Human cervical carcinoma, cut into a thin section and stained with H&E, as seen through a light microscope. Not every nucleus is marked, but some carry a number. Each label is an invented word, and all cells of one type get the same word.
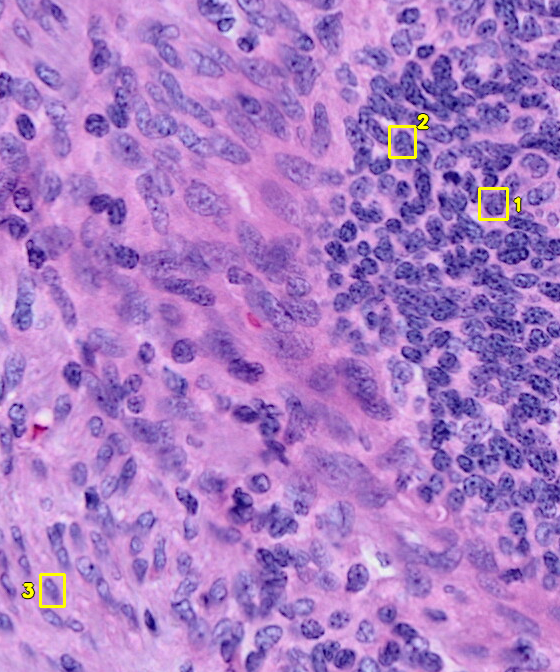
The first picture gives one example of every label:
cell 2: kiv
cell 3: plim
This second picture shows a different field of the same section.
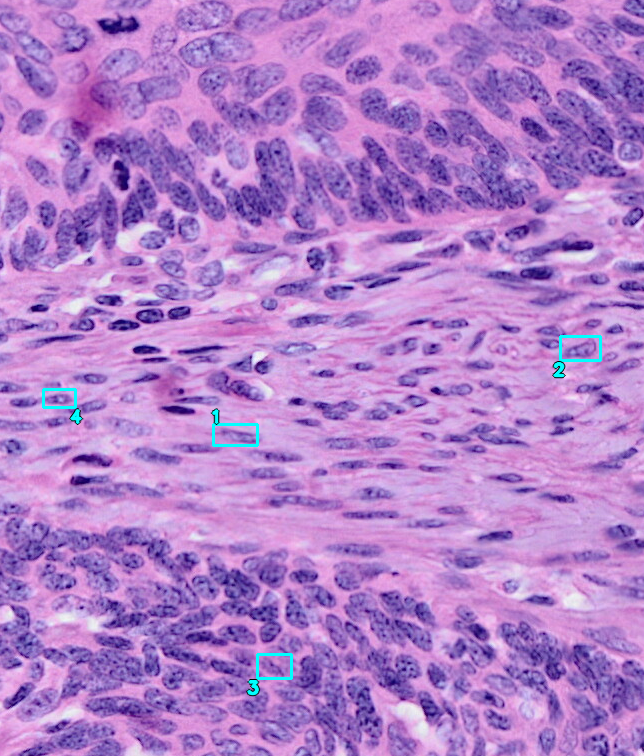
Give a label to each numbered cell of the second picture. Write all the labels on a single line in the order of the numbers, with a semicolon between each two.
plim; plim; kiv; plim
